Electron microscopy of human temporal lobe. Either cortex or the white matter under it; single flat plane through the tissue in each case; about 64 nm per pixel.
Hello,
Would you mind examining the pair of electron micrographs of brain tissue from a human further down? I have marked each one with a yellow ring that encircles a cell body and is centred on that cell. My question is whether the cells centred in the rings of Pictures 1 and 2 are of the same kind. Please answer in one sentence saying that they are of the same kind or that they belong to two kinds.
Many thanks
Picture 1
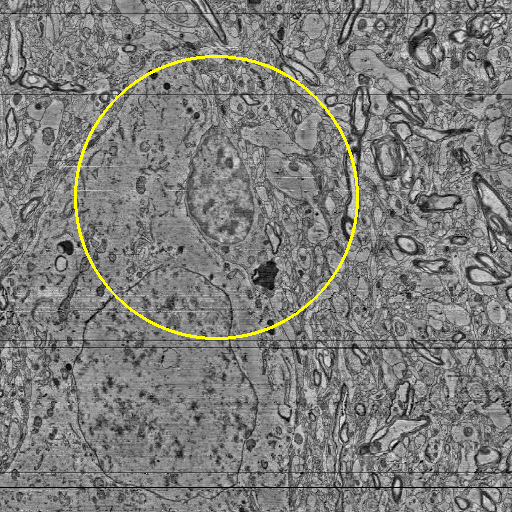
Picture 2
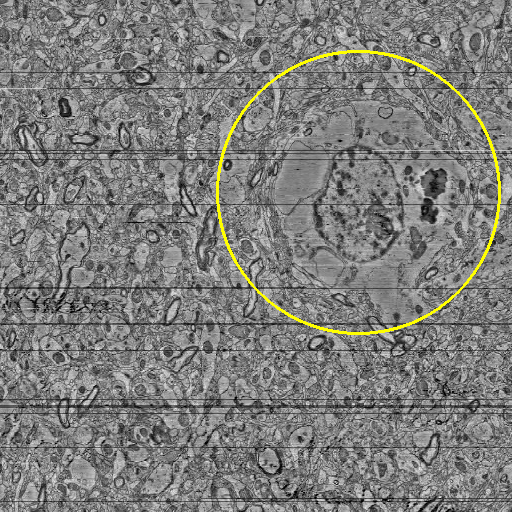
In Pictures 1 and 2, the cells at the heart of the rings belong to two kinds.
